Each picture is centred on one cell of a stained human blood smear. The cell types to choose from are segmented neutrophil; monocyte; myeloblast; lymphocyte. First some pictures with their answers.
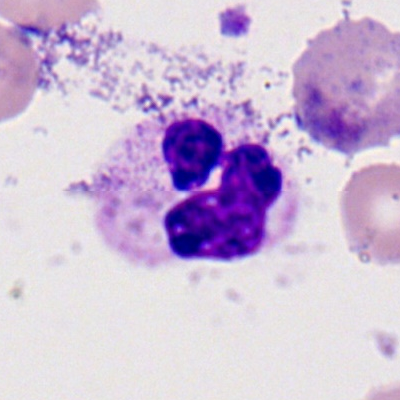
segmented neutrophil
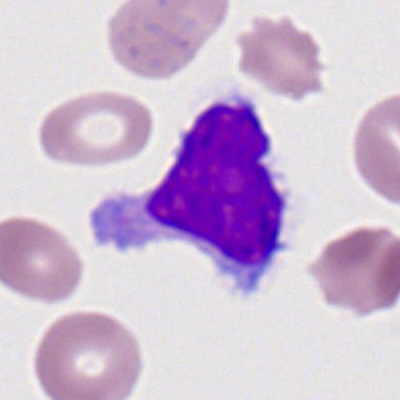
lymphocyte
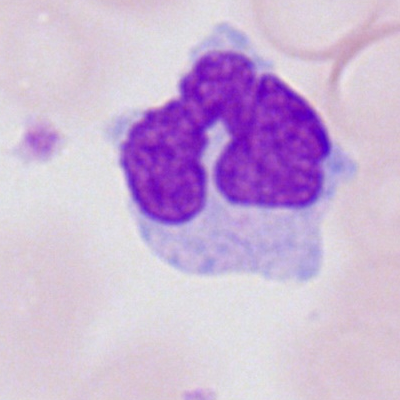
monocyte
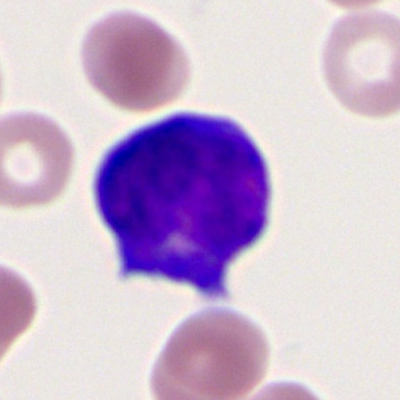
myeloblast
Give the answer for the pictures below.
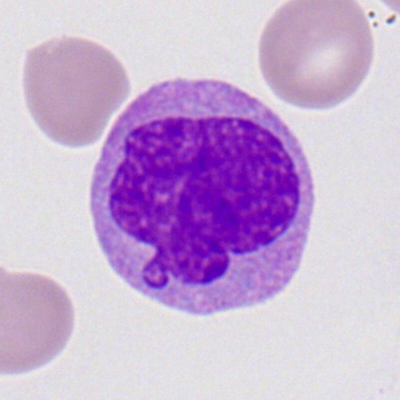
monocyte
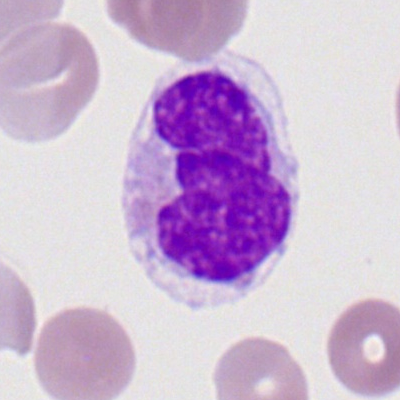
monocyte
